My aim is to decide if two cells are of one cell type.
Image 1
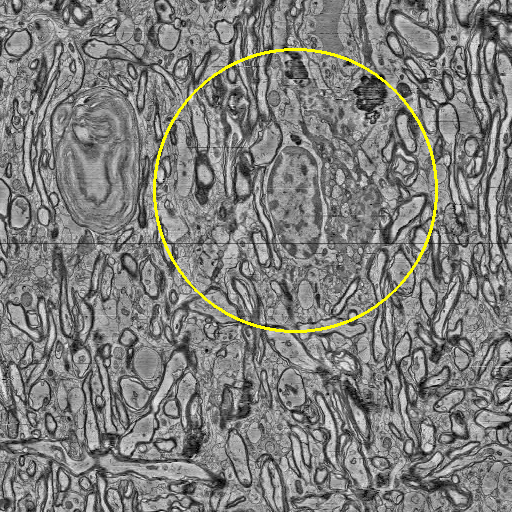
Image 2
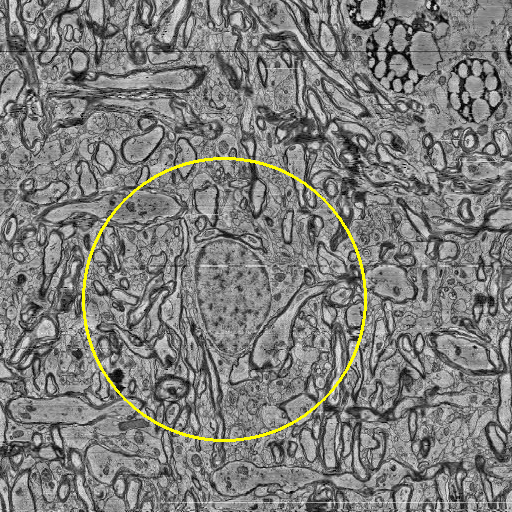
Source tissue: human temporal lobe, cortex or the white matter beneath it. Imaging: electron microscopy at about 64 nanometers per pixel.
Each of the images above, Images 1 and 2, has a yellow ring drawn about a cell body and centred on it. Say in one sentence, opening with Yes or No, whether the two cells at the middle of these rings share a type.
Yes, in Images 1 and 2 the cells at the middle of the rings share one type.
